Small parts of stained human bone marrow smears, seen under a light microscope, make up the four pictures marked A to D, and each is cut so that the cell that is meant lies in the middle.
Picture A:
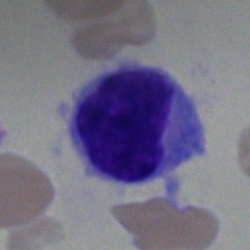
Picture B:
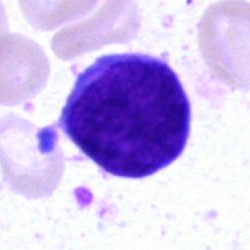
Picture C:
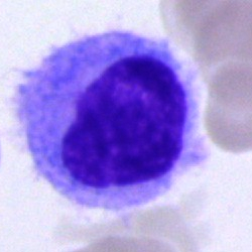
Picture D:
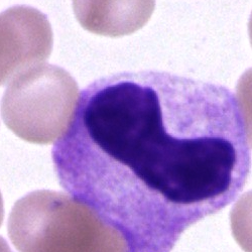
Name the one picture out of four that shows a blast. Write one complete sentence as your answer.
Picture B shows the blast.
